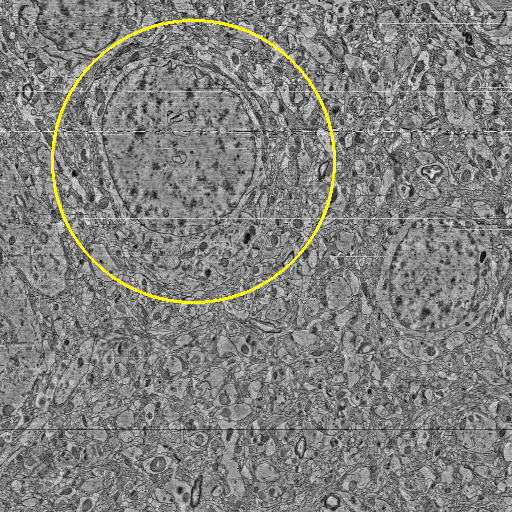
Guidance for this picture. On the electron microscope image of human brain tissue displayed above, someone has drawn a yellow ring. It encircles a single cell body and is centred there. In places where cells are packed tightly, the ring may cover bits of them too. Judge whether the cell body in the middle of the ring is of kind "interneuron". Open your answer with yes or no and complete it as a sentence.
No, another kind matches the cell whose body lies at the ring's centre in the image above.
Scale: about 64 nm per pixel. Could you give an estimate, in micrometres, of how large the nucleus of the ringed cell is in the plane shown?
In this plane the nucleus measures roughly 12 by 10 micrometers.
